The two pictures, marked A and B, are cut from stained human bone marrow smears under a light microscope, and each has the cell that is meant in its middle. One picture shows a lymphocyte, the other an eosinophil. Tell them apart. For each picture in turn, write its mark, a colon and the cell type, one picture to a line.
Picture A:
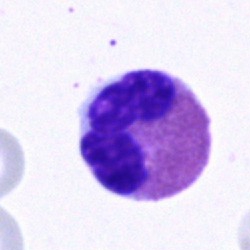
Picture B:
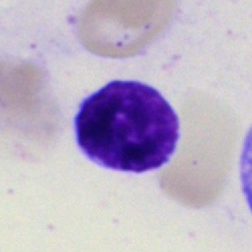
A: eosinophil
B: lymphocyte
